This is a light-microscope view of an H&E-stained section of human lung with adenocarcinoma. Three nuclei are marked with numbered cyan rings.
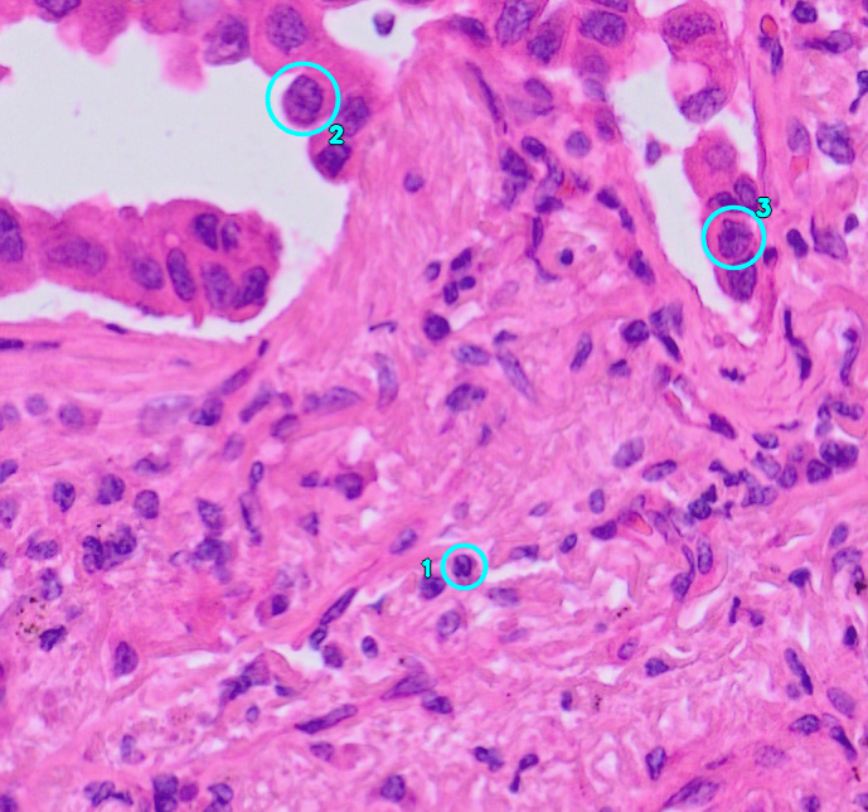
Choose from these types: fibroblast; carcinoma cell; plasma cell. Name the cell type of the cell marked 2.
carcinoma cell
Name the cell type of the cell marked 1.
plasma cell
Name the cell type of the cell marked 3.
carcinoma cell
